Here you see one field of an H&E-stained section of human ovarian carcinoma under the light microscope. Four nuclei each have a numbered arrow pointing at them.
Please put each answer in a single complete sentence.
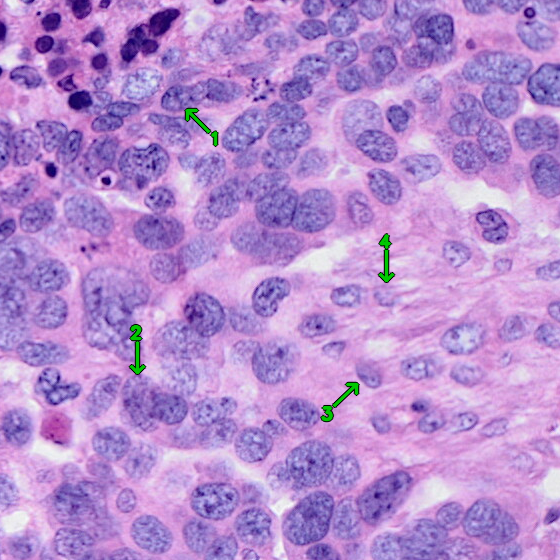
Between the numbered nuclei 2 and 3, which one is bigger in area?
The larger nucleus is 2, at roughly 2.5 times the area of 3.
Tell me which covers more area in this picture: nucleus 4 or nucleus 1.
The larger nucleus is 1, at roughly 1.5 times the area of 4.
